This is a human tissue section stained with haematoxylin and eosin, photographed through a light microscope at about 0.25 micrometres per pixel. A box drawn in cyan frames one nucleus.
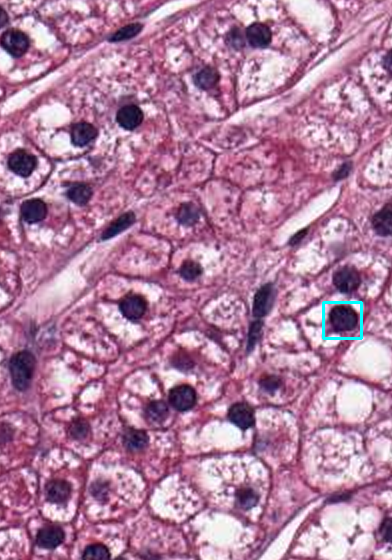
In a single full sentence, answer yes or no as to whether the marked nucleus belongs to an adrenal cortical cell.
Yes, the marked nucleus is housed in an adrenal cortical cell.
